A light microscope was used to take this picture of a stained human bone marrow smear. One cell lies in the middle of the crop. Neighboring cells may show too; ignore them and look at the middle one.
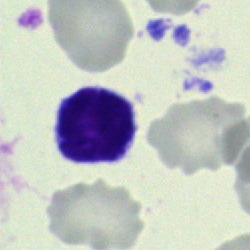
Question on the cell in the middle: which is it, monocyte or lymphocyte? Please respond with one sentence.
On this slide crop, the central cell is a lymphocyte.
